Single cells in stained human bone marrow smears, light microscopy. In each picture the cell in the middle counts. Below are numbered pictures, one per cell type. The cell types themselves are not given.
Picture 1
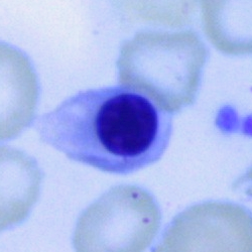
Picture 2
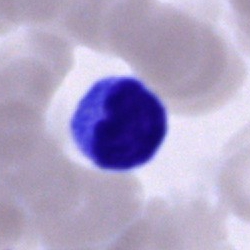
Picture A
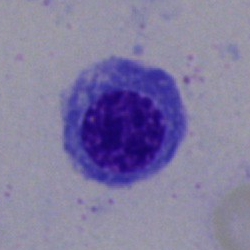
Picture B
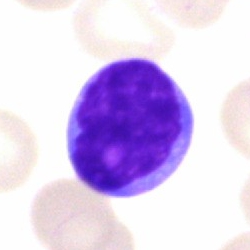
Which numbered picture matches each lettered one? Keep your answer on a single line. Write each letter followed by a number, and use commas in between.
A 1, B 2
